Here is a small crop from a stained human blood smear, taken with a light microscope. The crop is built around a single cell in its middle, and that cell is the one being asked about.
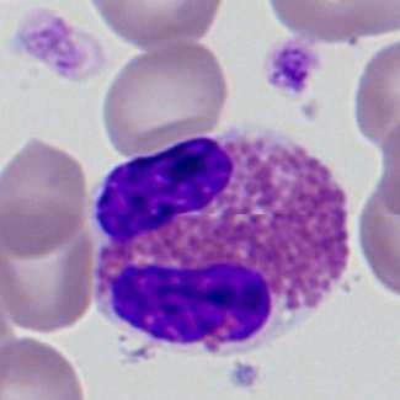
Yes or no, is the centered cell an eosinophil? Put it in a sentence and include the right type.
Yes, the cell at the crop's center is an eosinophil.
